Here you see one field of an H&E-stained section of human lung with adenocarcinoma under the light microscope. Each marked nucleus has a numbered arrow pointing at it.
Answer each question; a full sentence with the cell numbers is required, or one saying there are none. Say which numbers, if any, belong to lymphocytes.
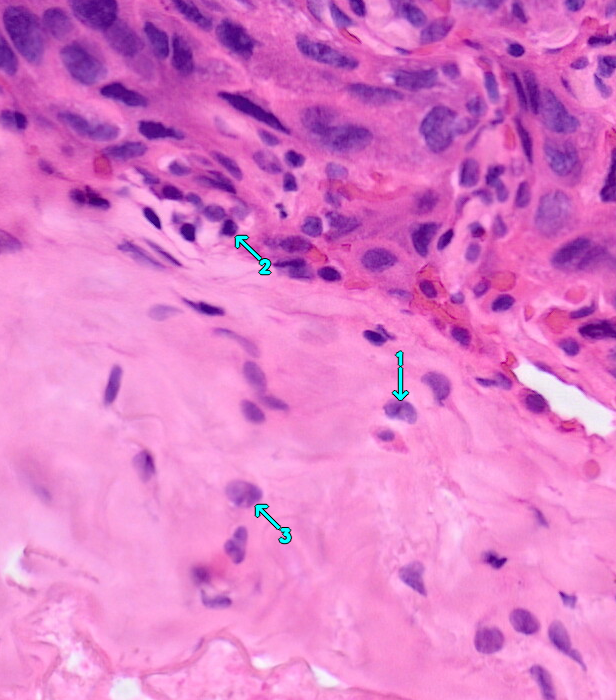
Where the numbered cells are concerned, only number 2 is a lymphocyte.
